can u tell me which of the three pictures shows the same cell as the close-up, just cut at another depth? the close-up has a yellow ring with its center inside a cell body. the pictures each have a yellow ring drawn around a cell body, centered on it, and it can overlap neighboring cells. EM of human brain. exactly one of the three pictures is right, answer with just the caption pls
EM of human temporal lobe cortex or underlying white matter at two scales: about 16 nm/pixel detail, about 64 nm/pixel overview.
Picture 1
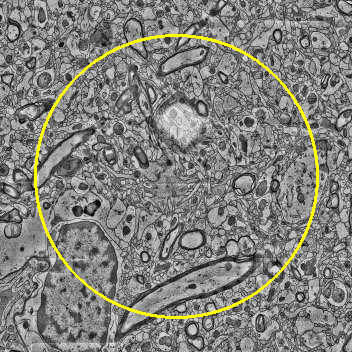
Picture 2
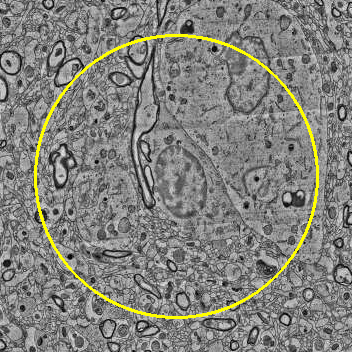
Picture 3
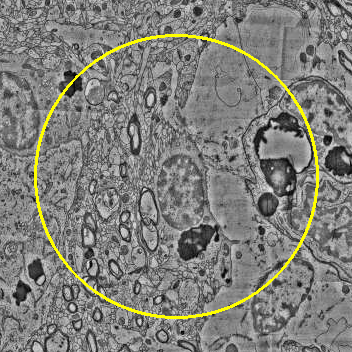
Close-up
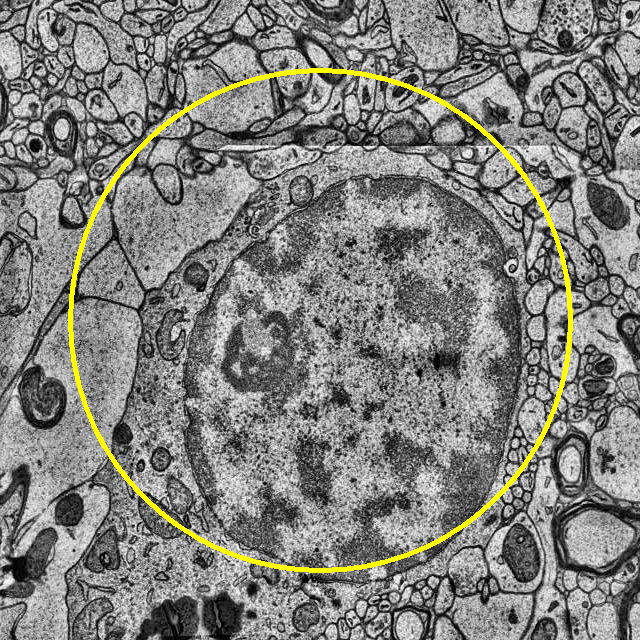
Picture 1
